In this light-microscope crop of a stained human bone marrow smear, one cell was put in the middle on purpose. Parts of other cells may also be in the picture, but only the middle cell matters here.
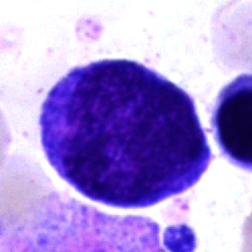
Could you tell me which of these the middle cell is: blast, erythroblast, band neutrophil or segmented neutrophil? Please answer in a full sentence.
The crop's centre is taken up by a blast.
